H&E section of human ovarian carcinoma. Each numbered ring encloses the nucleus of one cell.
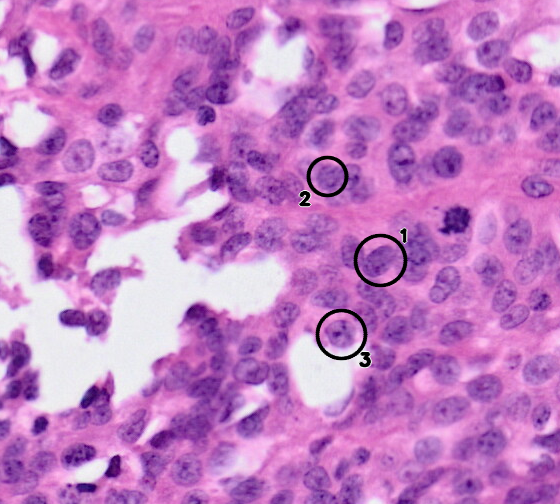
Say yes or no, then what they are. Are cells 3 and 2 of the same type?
No, a carcinoma cell is what cell 2 is, while cell 3 is a macrophage or monocyte.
